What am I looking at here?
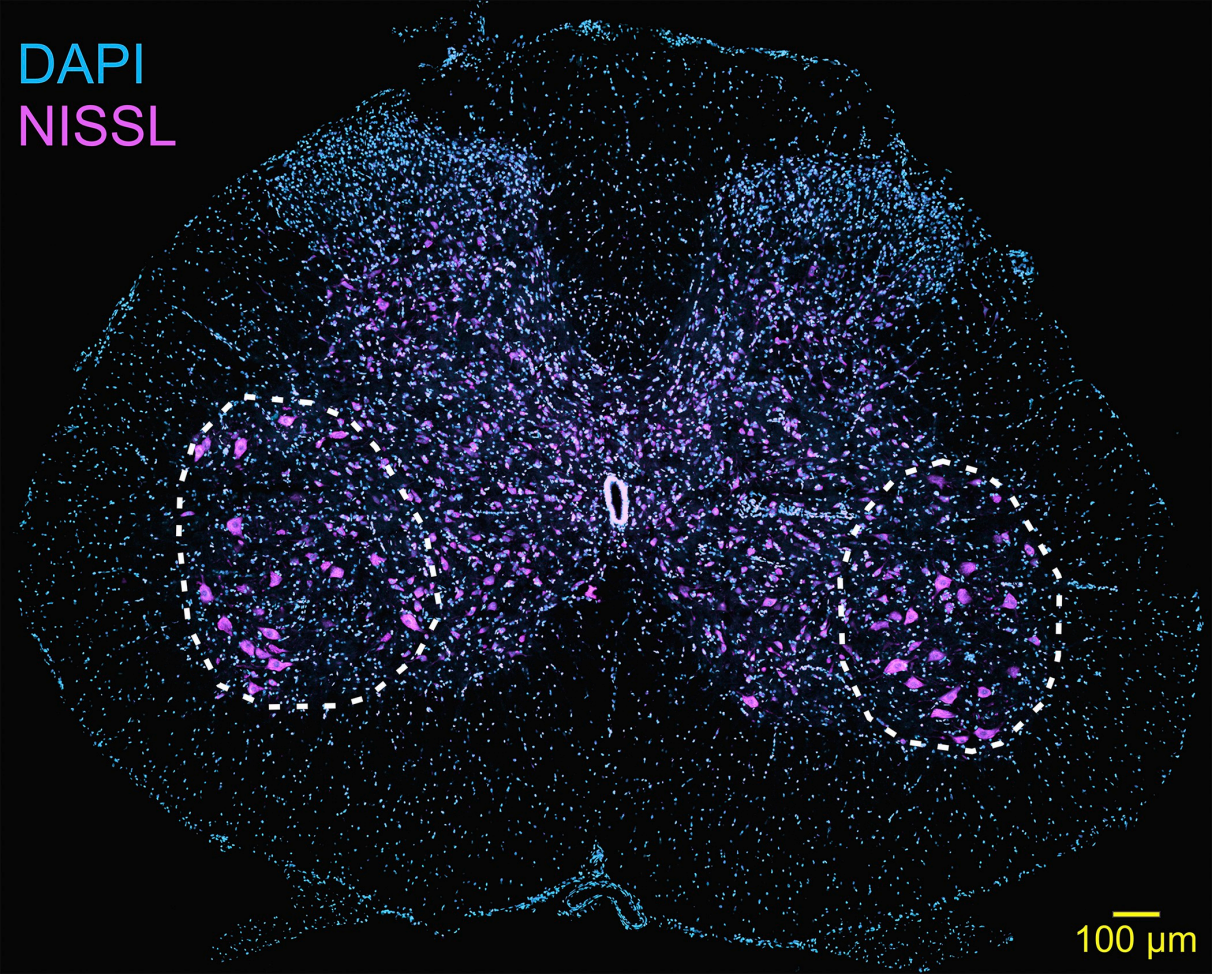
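A transverse section of spinal cord shows butterfly-shaped grey matter with a small central canal at its centre, surrounded by white matter with scattered small blue nuclei. Purple-stained neuronal cell bodies are spread through the grey matter, and the largest, polygonal ones cluster in the lateral parts of the ventral horns on both sides, where motoneurons lie. The dorsal horns at the top are densely packed with small blue nuclei.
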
